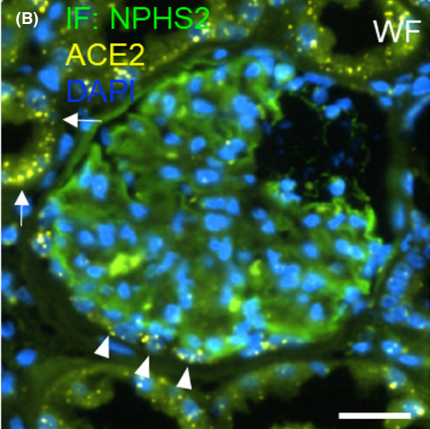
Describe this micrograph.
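Surrounding it are cross-sectioned tubules whose epithelial cells carry many small yellow dots. A few yellow dots also lie at the lower edge of the glomerulus. The tubules are separated from the glomerulus by thin interstitial strands.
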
